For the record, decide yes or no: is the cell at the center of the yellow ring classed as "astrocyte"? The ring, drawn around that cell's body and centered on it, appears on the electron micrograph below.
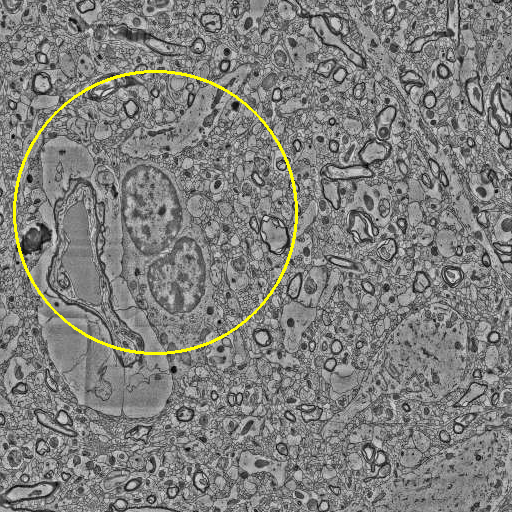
no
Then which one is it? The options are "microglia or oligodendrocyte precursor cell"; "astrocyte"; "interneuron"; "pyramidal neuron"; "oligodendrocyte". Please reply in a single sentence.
The answer is that the ringed cell is an oligodendrocyte.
